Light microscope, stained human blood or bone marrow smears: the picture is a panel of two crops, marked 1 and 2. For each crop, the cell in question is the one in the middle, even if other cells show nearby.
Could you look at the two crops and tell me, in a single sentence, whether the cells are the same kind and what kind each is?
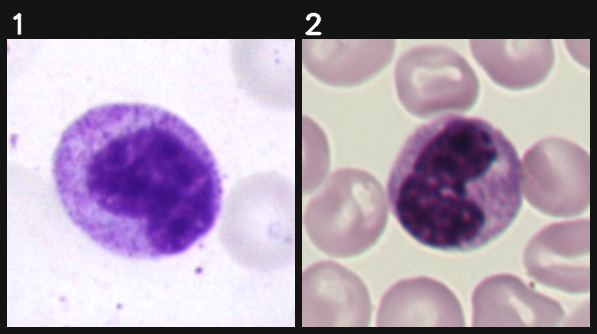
No, a band neutrophil is depicted in crop 2, whereas a metamyelocyte is depicted in crop 1.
